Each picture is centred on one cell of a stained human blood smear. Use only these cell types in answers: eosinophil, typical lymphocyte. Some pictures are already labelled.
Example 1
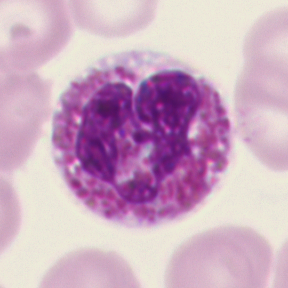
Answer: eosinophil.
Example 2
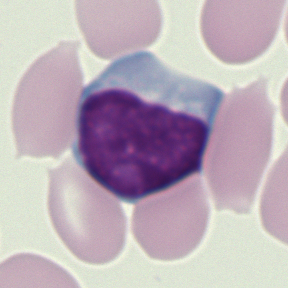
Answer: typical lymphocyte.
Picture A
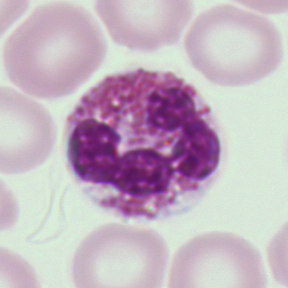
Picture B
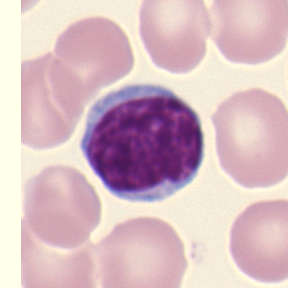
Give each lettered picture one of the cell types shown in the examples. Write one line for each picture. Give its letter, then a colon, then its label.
A: eosinophil.
B: typical lymphocyte.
